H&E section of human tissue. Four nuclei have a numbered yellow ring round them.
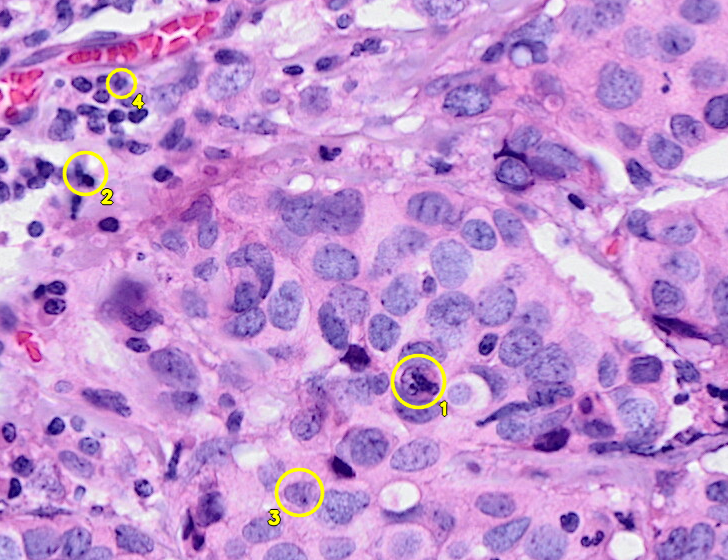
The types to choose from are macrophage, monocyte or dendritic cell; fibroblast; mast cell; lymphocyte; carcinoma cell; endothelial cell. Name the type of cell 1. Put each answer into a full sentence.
Cell 1 in the field is a carcinoma cell.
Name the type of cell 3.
In this section, the cell tagged 3 is a carcinoma cell.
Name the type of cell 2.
The cell indicated with the number 2 is classed as a lymphocyte.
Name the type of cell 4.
The cell given label 4 is a lymphocyte.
